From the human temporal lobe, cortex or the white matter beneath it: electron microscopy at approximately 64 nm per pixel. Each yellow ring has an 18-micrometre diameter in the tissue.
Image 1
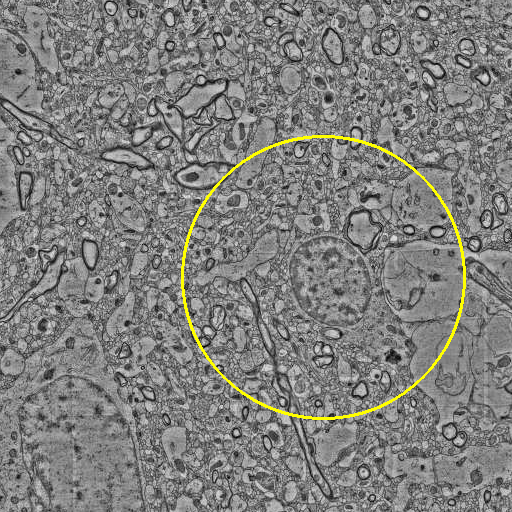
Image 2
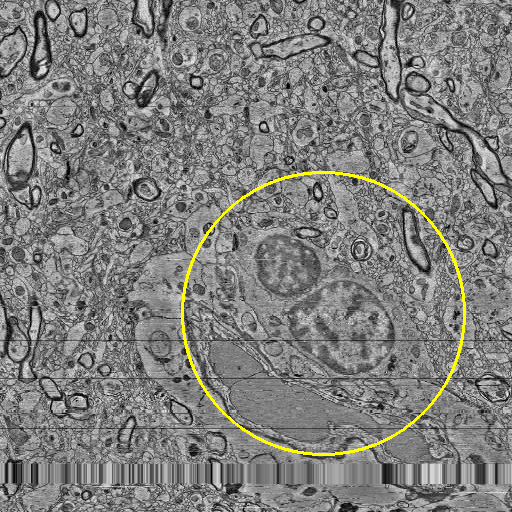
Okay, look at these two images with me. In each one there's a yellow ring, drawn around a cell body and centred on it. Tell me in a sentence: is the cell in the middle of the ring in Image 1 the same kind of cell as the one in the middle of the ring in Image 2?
Yes, they're the same kind of cell.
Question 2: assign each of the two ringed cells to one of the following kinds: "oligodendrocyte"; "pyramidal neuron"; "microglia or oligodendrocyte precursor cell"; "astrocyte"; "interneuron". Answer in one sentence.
Each cell, in the first picture and the second, is an oligodendrocyte.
